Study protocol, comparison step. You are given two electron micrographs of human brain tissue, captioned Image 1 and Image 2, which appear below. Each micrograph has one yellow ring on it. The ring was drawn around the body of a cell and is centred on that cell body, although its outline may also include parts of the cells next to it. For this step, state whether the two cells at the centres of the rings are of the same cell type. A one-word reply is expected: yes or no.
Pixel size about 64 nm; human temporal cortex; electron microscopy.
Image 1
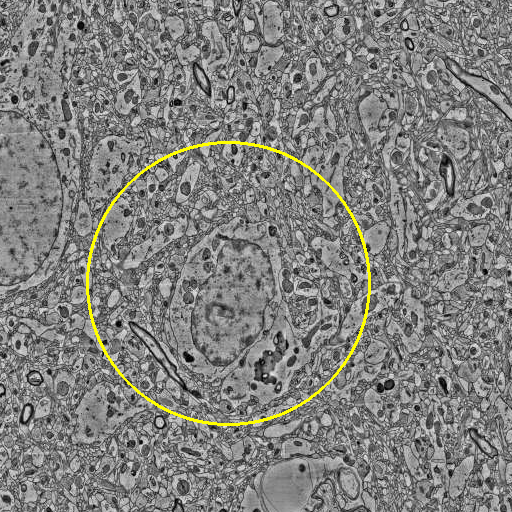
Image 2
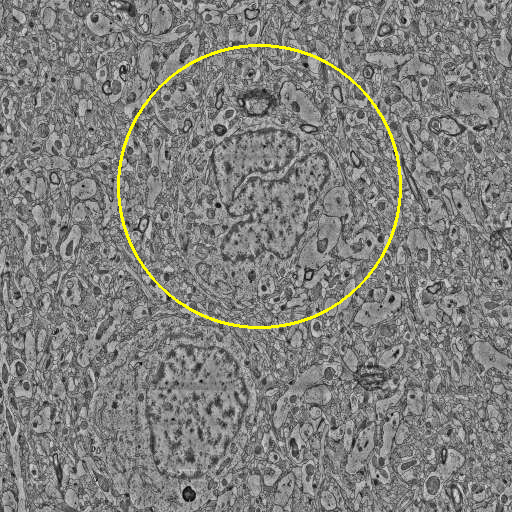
yes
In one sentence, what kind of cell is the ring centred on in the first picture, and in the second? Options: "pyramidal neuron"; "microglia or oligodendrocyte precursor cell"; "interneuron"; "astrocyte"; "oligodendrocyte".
The second cell is an interneuron, just as the first is.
